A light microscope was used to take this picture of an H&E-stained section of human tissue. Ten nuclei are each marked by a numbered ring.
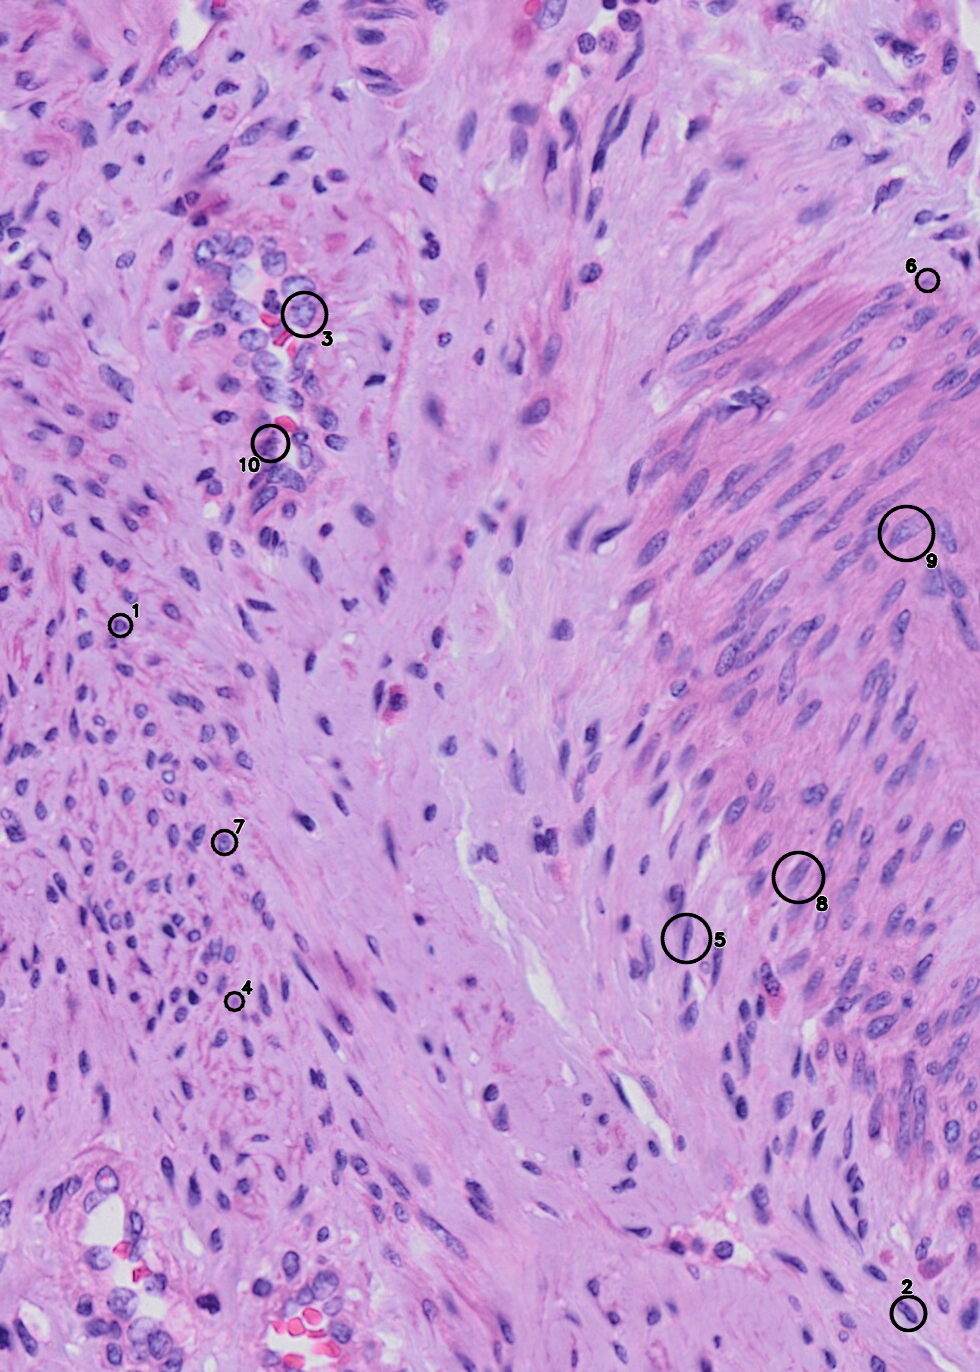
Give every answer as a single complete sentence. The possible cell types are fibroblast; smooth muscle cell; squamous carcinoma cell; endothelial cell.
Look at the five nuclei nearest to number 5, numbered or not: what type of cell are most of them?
Around number 5, most of the five nearest nuclei are those of fibroblasts.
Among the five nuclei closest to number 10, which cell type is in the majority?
Endothelial cells make up most of the five nuclei closest to number 10.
